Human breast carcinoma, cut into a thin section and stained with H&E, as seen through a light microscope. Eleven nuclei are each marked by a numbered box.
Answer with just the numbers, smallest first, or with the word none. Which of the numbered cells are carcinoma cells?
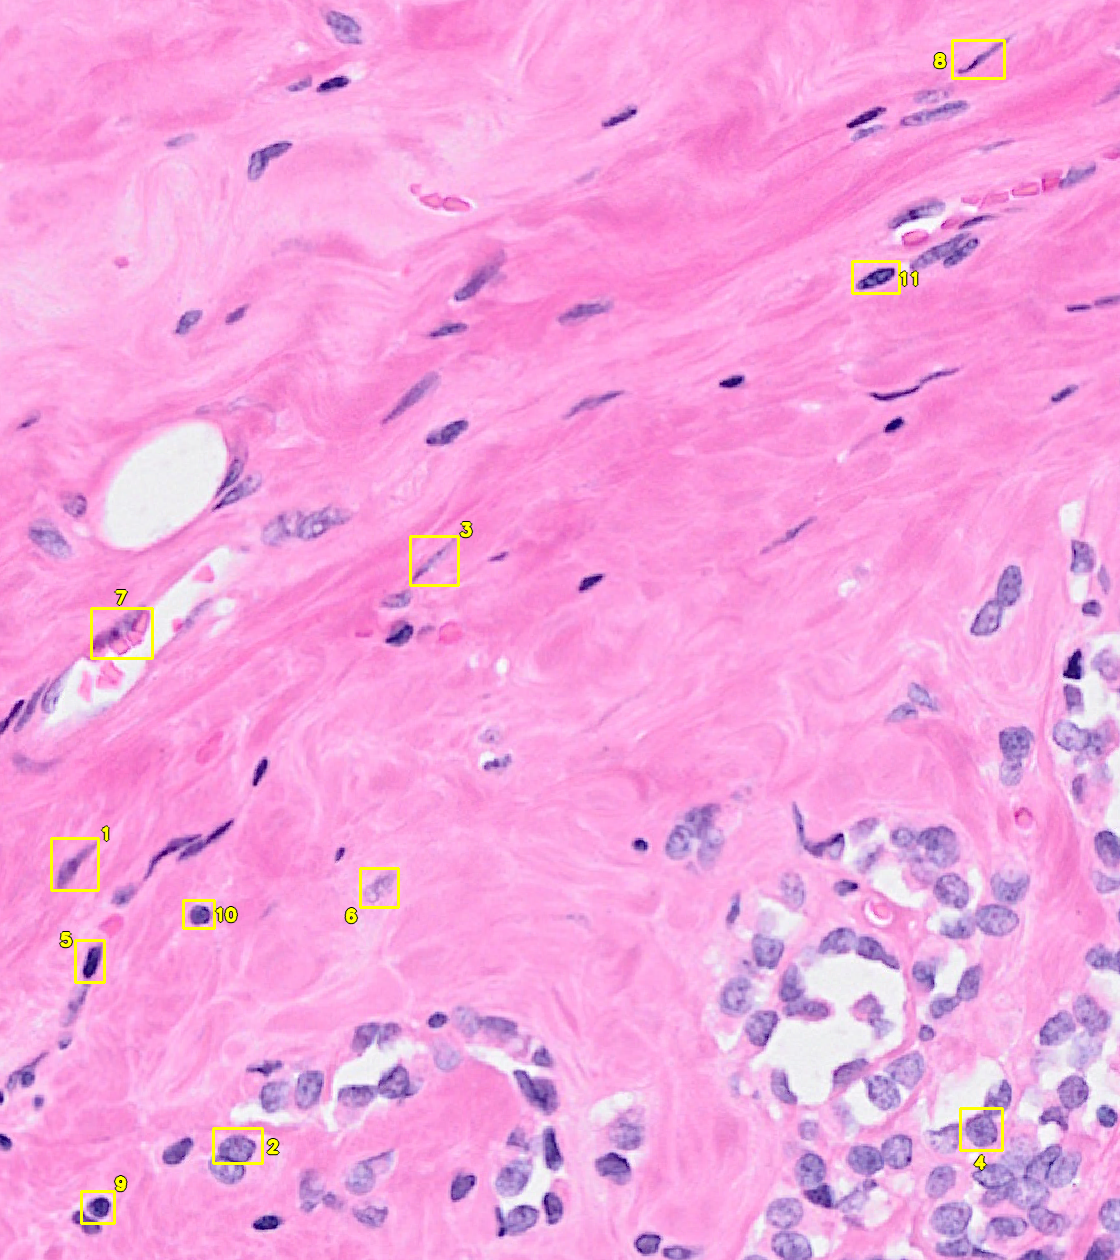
2, 4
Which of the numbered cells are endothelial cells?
7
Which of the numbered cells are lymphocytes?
5, 9, 10, 11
